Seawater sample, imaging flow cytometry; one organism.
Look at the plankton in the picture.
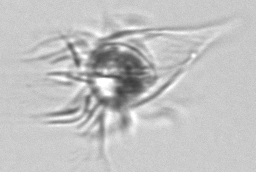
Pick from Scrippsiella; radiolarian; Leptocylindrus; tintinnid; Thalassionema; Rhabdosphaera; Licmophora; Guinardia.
tintinnid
